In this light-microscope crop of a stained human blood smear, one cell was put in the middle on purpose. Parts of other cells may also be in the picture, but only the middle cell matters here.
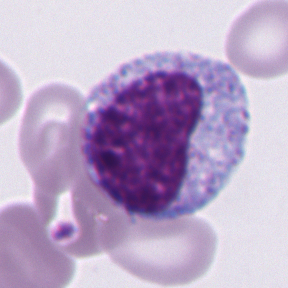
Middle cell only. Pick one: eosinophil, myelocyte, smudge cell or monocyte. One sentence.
As for the central cell, it is a myelocyte.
